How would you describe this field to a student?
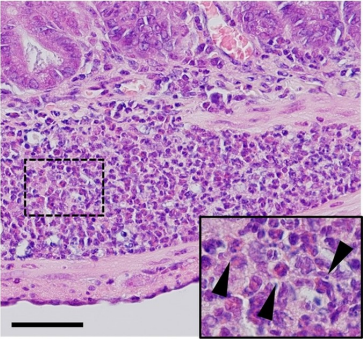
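This section of intestinal wall shows mucosal glands at the top and, beneath them, a broad band of densely packed inflammatory cells lying above the thin outer muscle coat. The band is made of many small round cells with dark purple nuclei, mixed with cells whose cytoplasm is bright pink and granular. In the enlarged inset, several of these eosinophils are pointed out by arrowheads, their pink-red cytoplasm standing out among the purple-nucleated cells around them. Vessels holding red blood cells lie near the top right, and the dense cell band separates the glands from the muscle layer.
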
